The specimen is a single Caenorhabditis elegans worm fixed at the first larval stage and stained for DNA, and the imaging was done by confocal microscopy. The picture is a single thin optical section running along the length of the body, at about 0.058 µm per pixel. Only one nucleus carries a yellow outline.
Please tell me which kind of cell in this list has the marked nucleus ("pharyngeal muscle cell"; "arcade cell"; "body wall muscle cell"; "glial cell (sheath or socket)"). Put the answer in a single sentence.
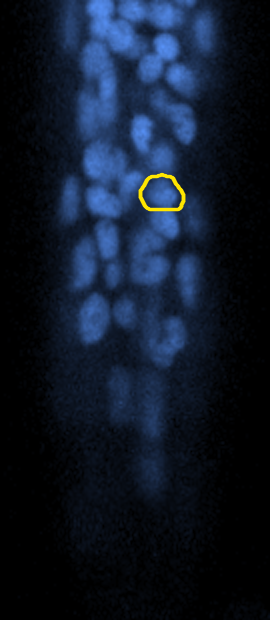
The cell with the marked nucleus is a glial cell (sheath or socket).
